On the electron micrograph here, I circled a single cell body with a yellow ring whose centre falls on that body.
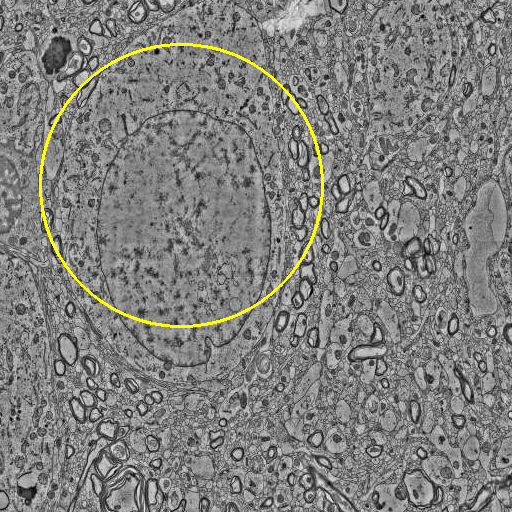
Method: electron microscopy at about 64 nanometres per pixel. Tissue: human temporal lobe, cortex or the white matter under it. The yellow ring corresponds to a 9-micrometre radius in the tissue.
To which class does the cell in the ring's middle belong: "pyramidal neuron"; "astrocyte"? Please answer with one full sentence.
In this picture, the cell body circled at the ring's centre belongs to a pyramidal neuron.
